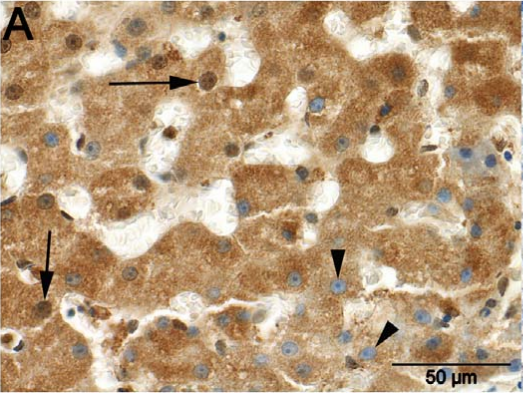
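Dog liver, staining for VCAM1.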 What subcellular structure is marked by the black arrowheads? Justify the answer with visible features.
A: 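Nuclei. Each arrowhead points to a round blue body inside a cell. The round bodies at the arrowheads are pale blue, not brown. They lie within brown-stained cytoplasm.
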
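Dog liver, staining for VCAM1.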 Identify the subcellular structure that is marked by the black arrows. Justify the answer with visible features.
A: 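Each arrow tips onto a round body inside a large polygonal cell. The round bodies at the arrows are stained dark brown. They are surrounded by brown granular cytoplasm.
Nuclei.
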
